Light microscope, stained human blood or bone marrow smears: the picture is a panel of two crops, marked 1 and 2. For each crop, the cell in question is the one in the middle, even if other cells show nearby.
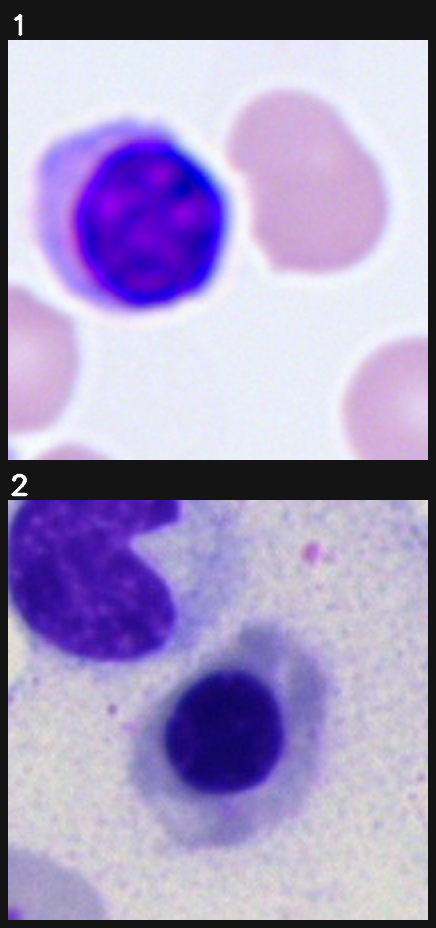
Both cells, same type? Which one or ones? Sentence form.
No, it is a lymphocyte that crop 1 shows, and an erythroblast that crop 2 shows.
